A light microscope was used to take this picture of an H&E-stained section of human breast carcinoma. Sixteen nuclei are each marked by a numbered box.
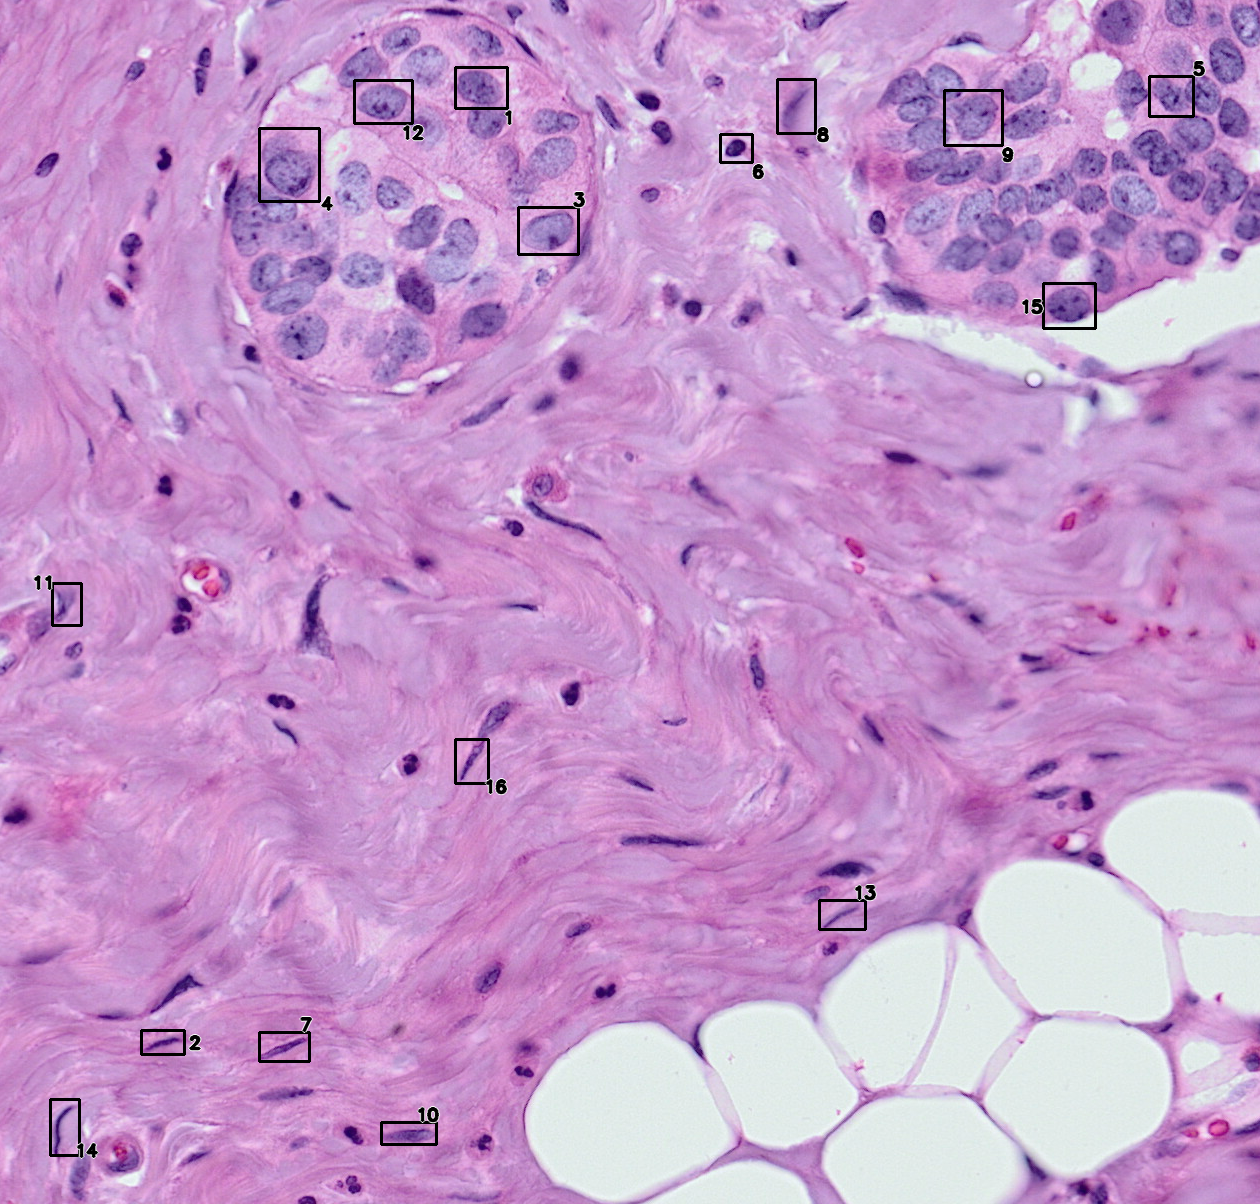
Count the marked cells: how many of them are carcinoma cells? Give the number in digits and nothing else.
7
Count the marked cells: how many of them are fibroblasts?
8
